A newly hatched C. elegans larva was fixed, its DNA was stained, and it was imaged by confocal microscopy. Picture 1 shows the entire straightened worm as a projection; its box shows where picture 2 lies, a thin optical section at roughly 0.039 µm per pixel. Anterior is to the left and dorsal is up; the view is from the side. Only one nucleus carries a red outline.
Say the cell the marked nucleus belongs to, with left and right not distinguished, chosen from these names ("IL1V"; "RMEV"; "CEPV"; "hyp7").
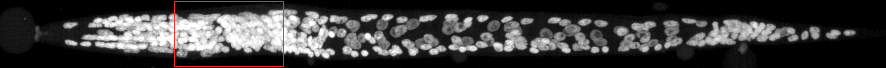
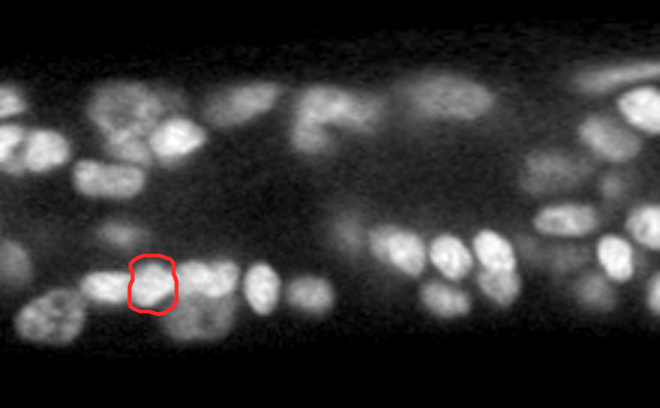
IL1V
